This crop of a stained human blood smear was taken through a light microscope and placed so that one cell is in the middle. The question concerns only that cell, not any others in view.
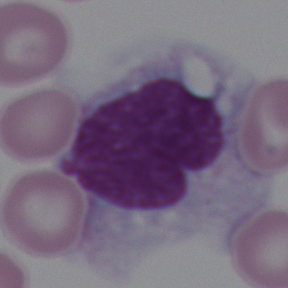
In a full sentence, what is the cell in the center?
Occupying the centre of the crop is a monocyte.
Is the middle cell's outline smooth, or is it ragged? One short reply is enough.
It is the contour of the cell that is irregular, being ragged or projecting outward.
